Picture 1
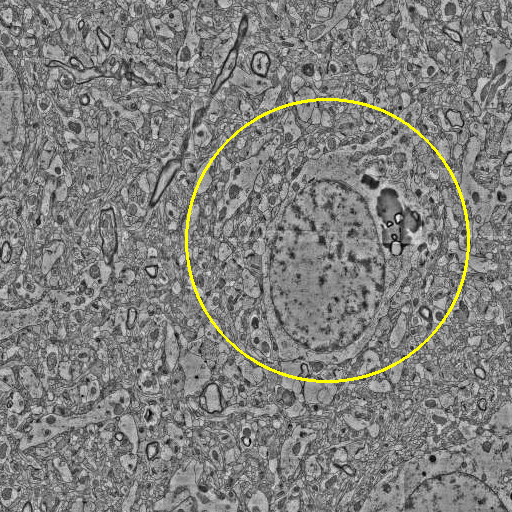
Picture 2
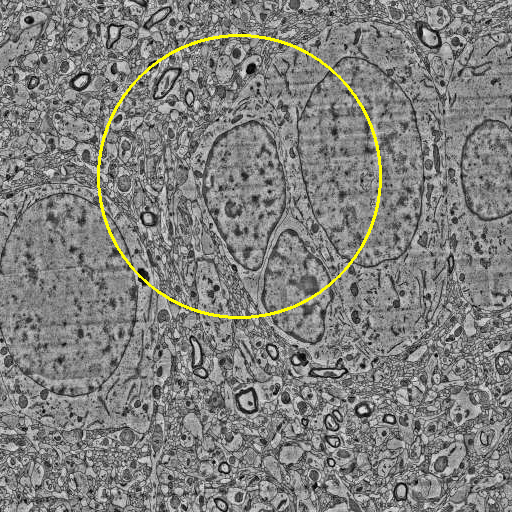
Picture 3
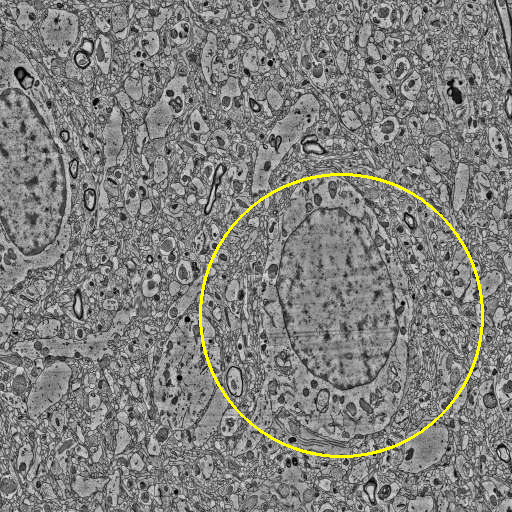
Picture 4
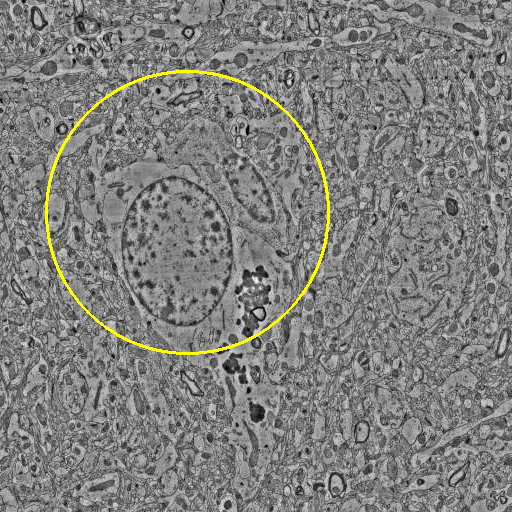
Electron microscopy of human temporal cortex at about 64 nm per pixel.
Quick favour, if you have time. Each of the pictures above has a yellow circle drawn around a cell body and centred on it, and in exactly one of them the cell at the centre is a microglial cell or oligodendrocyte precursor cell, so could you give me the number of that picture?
2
